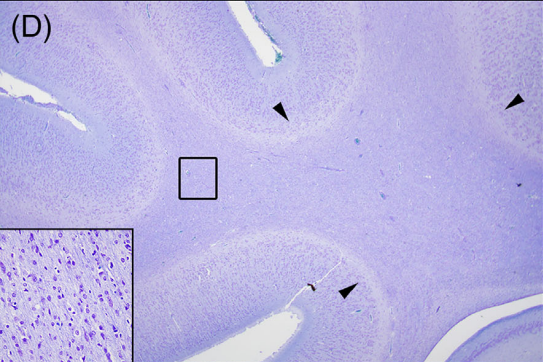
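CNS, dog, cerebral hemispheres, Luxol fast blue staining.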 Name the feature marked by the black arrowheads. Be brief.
Subcortical U‐fibers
